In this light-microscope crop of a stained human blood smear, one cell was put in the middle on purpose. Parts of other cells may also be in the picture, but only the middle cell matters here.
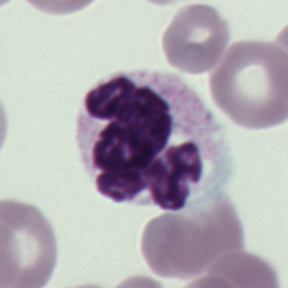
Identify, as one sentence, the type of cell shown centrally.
The centered cell in this crop is a segmented neutrophil.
